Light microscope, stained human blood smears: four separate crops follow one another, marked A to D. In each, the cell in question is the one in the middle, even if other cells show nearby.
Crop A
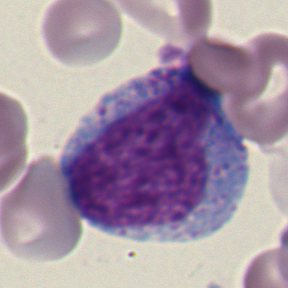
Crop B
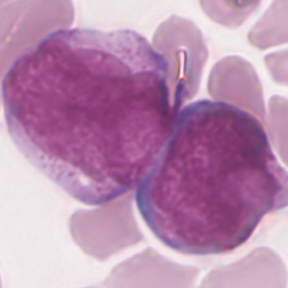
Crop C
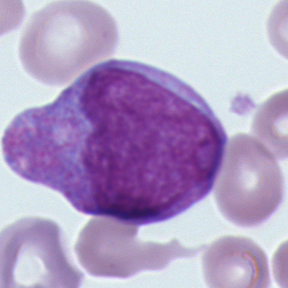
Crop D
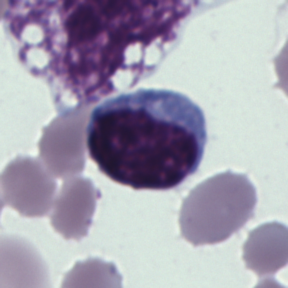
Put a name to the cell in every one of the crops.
A: promyelocyte
B: atypical promyelocyte
C: atypical promyelocyte
D: typical lymphocyte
